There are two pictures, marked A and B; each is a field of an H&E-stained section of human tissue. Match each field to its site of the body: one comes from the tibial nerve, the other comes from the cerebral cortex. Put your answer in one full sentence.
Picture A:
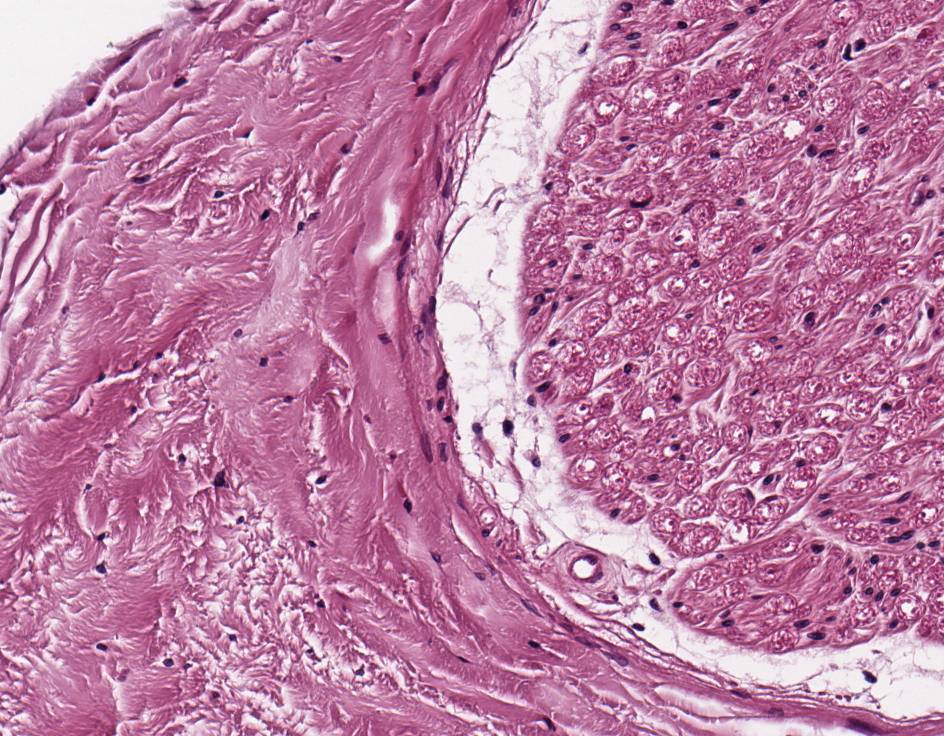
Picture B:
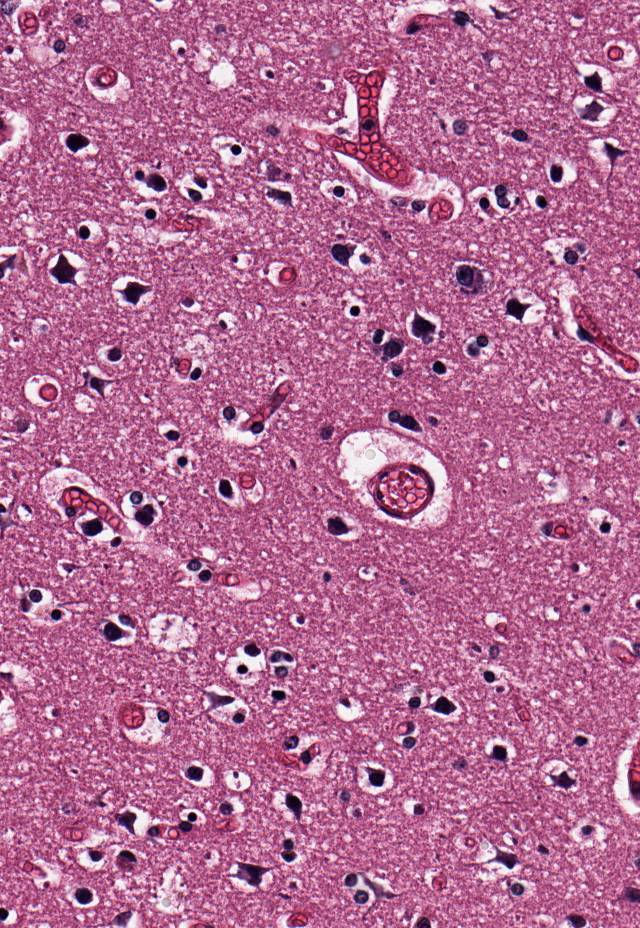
It is picture A that comes from the tibial nerve, and picture B that comes from the cerebral cortex.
